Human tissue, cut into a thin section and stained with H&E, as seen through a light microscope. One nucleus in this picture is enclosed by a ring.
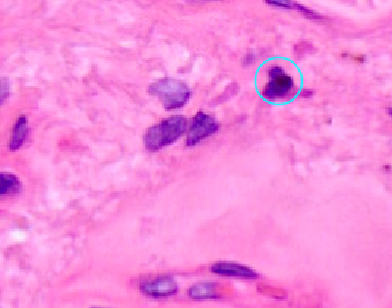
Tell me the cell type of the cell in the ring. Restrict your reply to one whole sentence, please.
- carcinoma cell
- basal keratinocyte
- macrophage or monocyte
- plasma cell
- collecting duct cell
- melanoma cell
Cytologically, the cell in the ring is to be regarded as a plasma cell.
